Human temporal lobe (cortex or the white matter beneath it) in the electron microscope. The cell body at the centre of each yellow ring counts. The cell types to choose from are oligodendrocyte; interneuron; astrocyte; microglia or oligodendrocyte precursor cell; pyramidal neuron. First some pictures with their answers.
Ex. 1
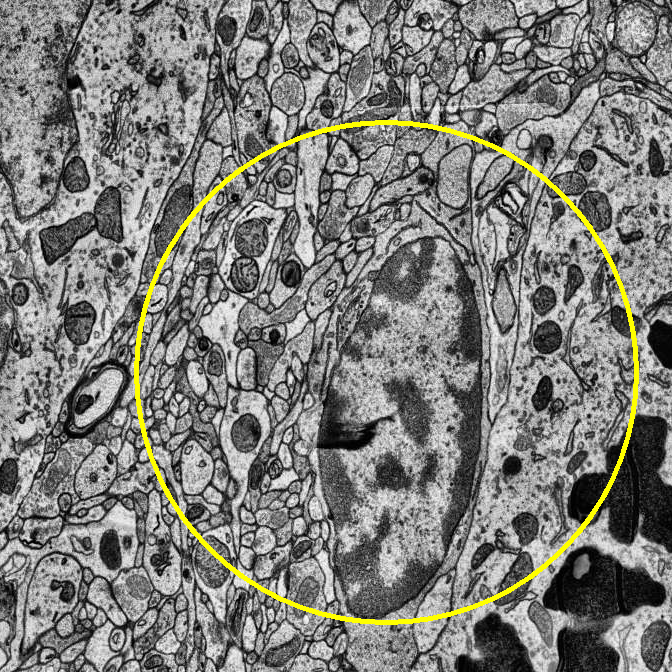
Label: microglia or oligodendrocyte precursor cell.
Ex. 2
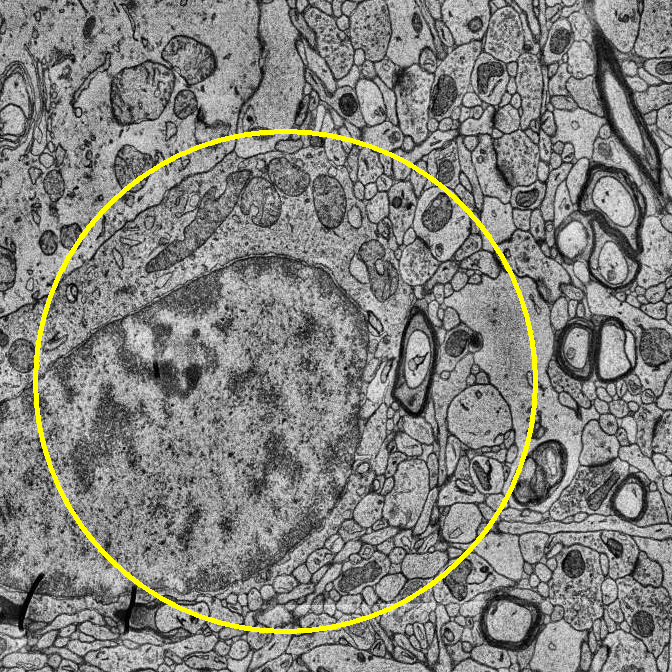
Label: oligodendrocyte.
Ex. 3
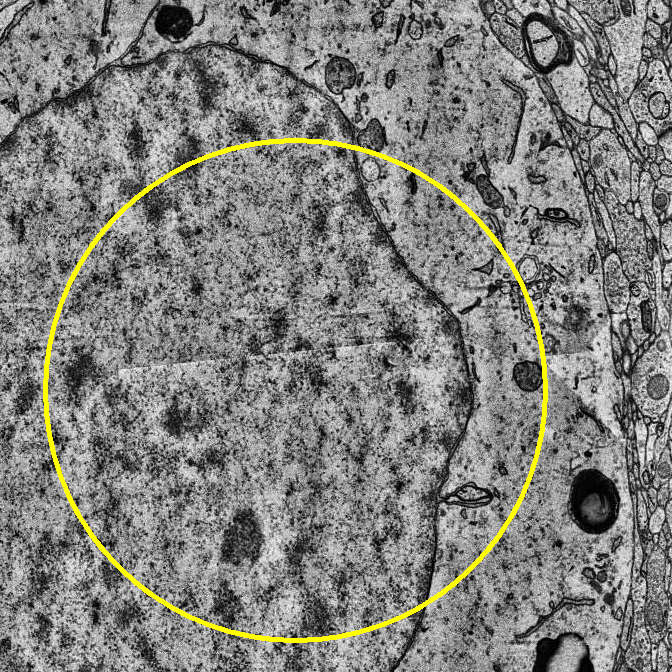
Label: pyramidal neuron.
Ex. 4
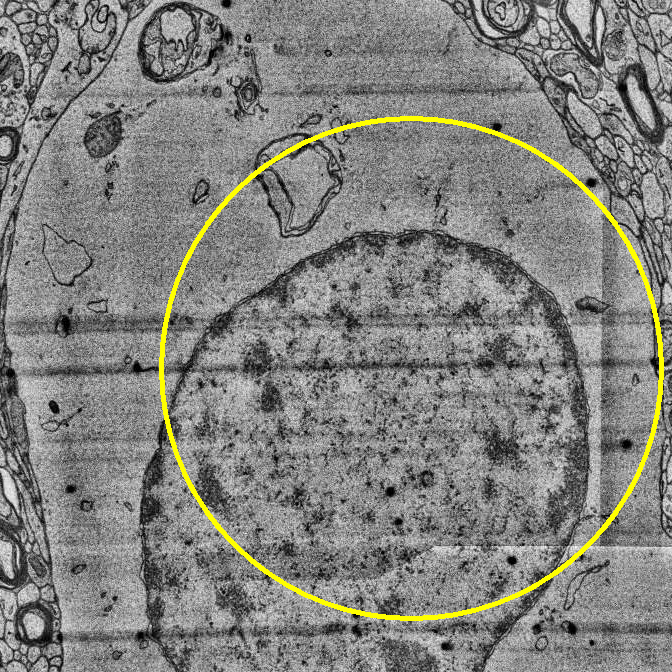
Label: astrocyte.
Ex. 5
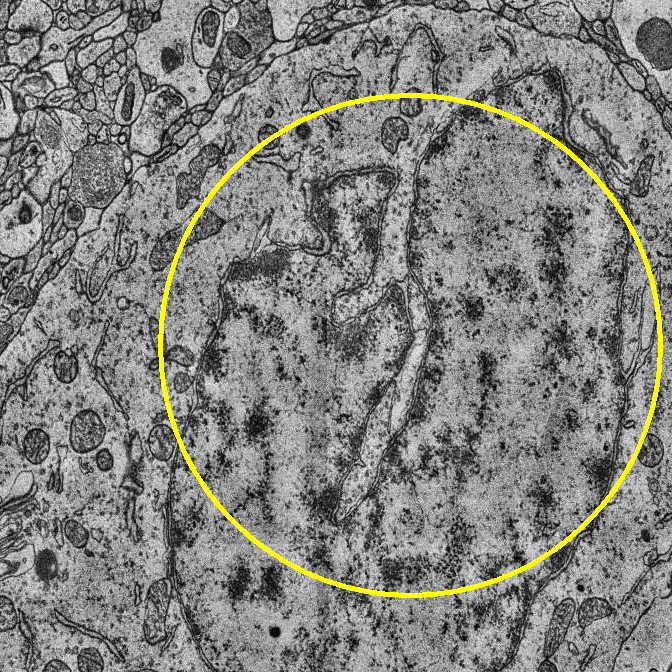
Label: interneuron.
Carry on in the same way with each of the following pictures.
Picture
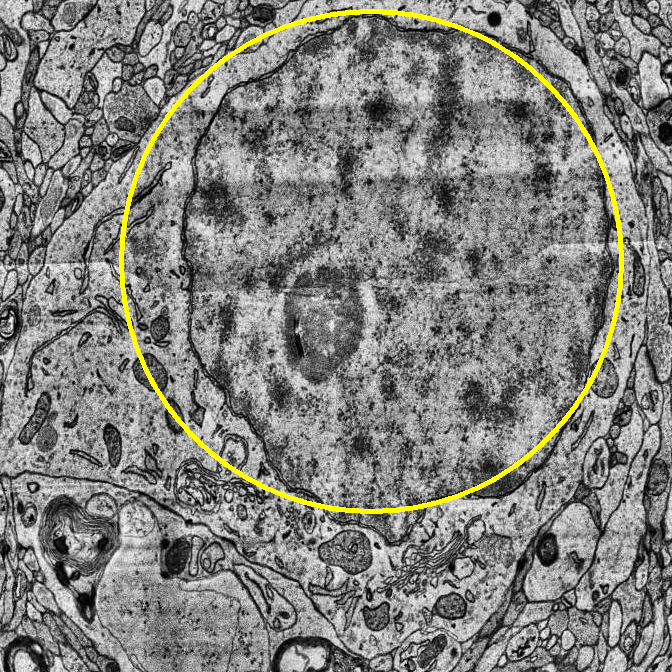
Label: interneuron.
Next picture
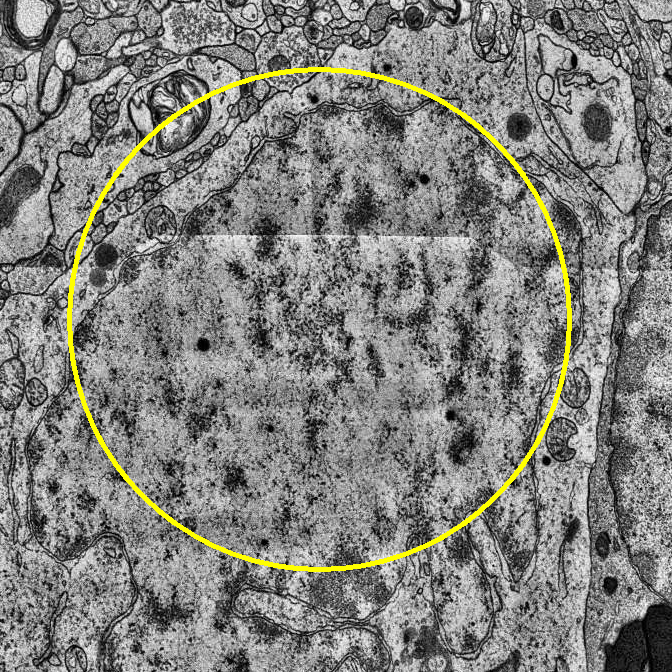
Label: interneuron.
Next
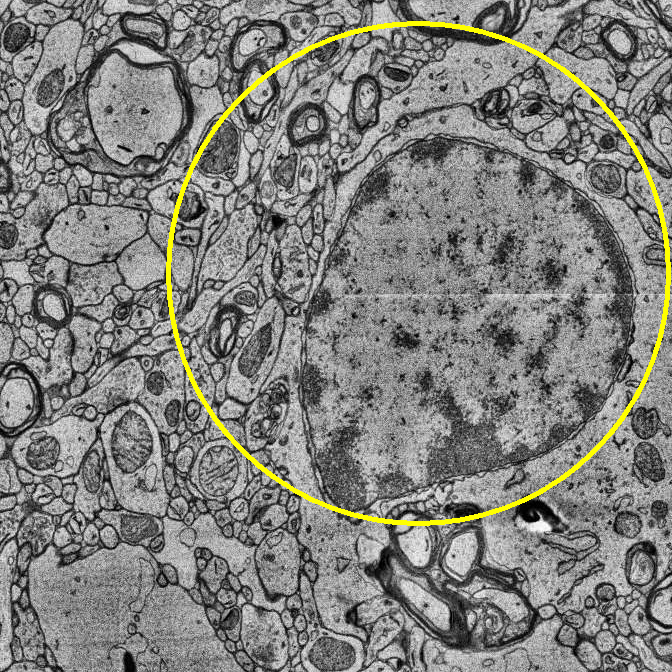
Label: microglia or oligodendrocyte precursor cell.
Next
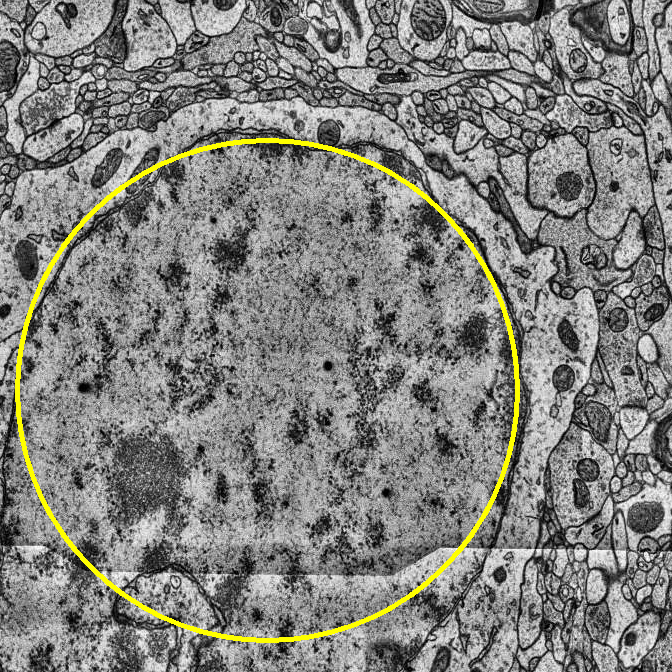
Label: interneuron.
